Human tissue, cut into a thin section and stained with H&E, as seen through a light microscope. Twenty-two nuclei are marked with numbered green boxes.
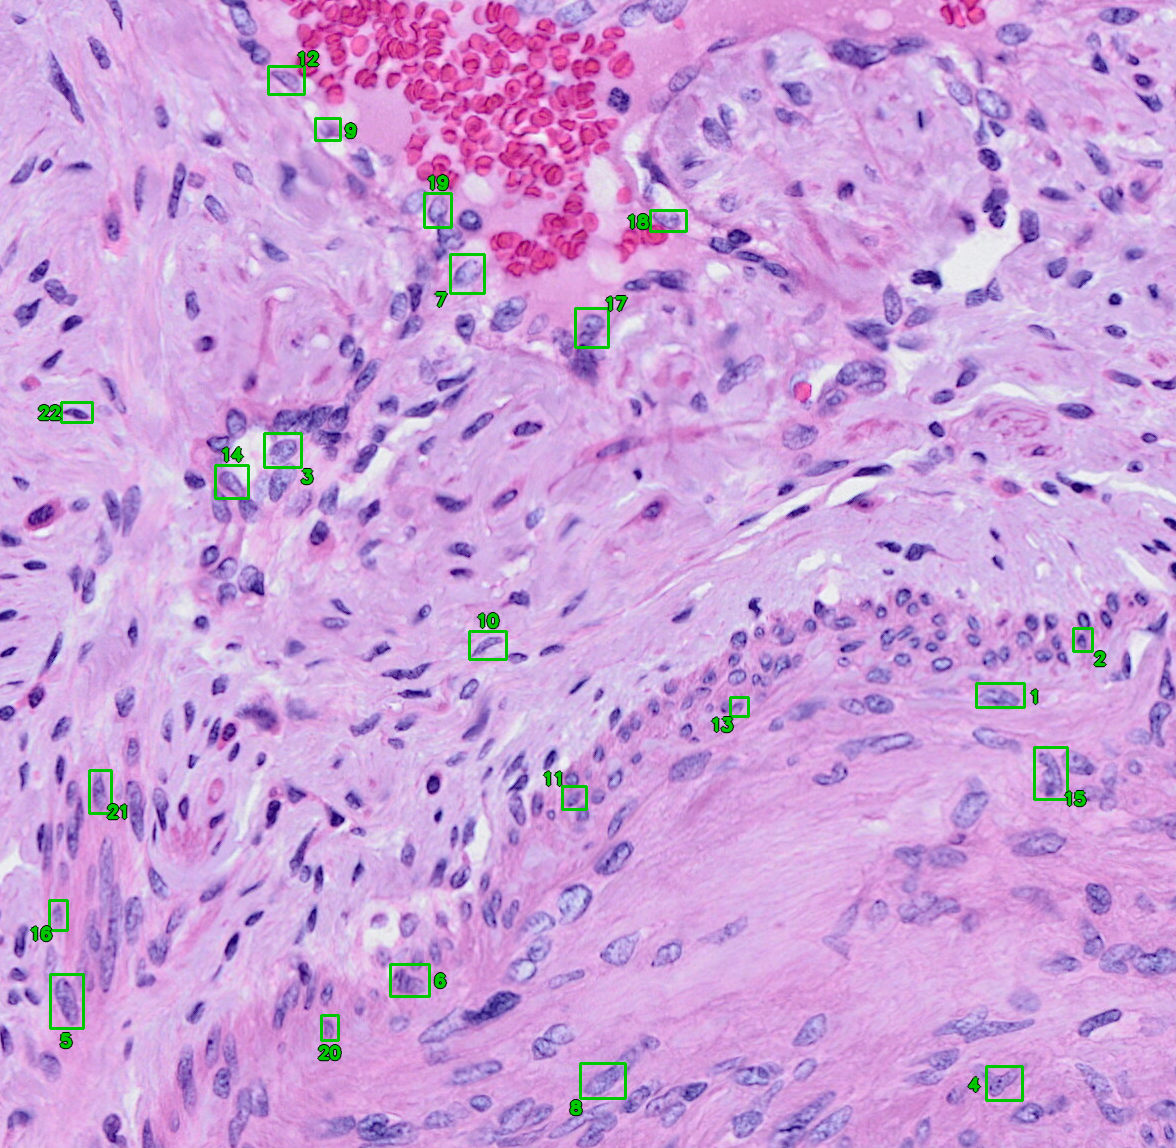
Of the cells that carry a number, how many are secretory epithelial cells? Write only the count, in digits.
0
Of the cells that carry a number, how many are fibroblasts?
2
